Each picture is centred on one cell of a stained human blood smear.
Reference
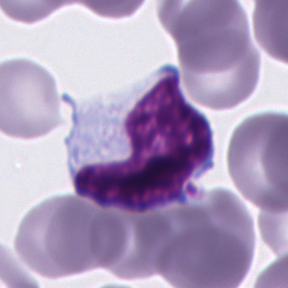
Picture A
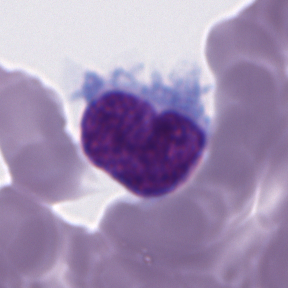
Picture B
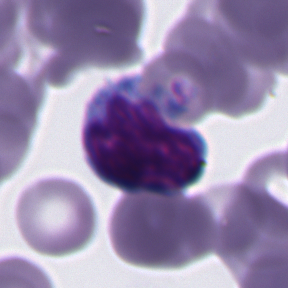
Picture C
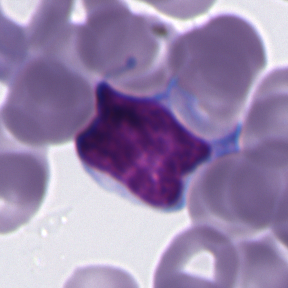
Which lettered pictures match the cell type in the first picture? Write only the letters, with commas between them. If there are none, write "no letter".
B, C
